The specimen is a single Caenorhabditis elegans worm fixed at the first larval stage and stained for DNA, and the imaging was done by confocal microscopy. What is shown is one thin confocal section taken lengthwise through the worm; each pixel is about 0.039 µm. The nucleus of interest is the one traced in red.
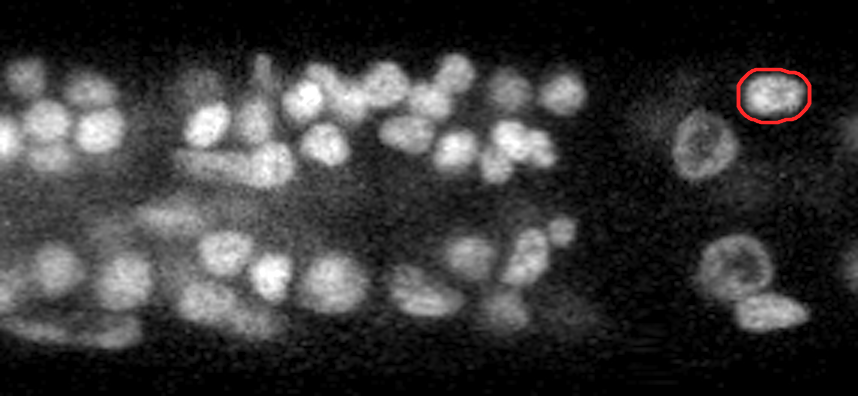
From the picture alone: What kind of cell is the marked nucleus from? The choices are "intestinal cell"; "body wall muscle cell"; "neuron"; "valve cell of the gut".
body wall muscle cell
